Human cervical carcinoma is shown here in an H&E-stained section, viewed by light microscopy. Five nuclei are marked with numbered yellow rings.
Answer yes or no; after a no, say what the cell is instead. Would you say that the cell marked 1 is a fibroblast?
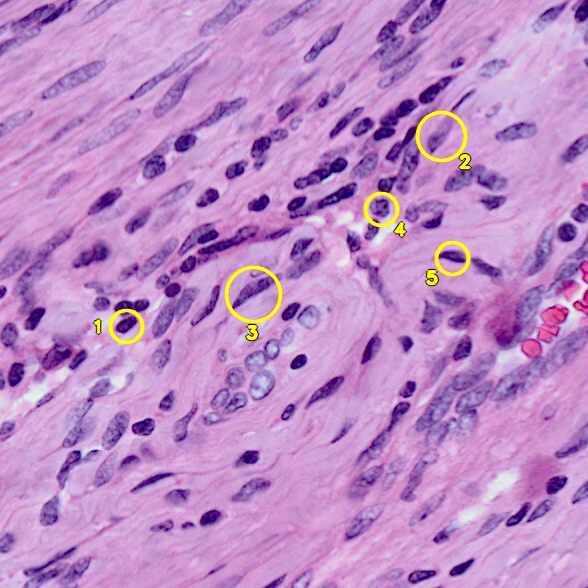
No, it is a lymphocyte.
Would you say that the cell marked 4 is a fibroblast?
No, it is a lymphocyte.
